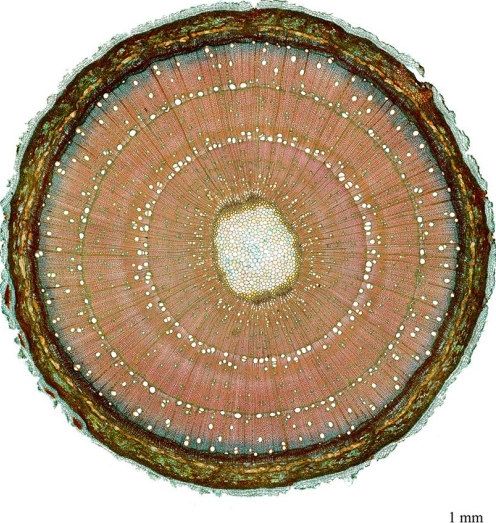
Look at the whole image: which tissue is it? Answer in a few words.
stem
